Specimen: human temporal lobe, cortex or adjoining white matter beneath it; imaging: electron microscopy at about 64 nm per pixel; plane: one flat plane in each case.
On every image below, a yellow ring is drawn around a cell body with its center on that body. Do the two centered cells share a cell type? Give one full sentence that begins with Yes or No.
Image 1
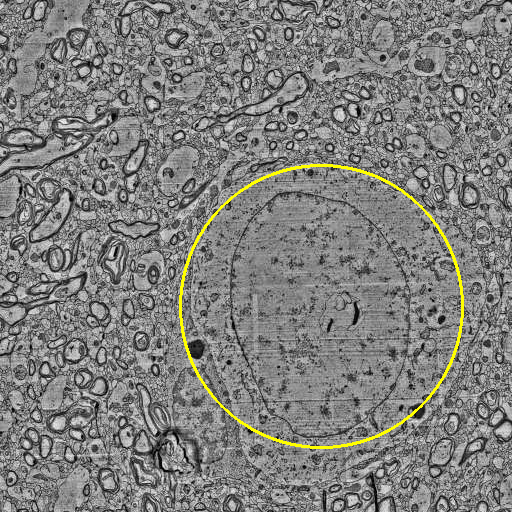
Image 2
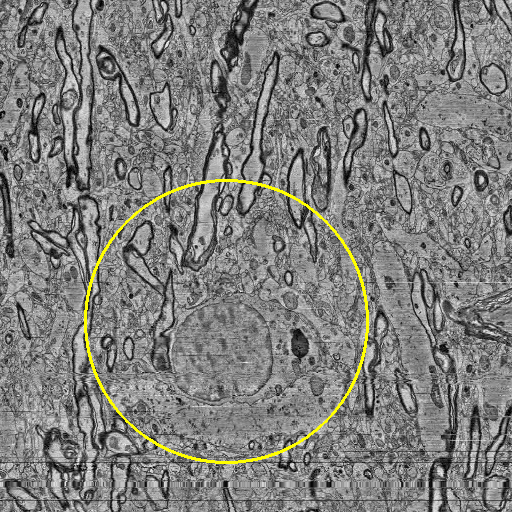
No, the centered cells in the two images are of two separate cell types.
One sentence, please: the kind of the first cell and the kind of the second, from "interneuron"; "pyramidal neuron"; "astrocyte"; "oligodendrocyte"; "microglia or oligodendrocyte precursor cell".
The ring in the first picture surrounds a pyramidal neuron, and the ring in the second surrounds an oligodendrocyte.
